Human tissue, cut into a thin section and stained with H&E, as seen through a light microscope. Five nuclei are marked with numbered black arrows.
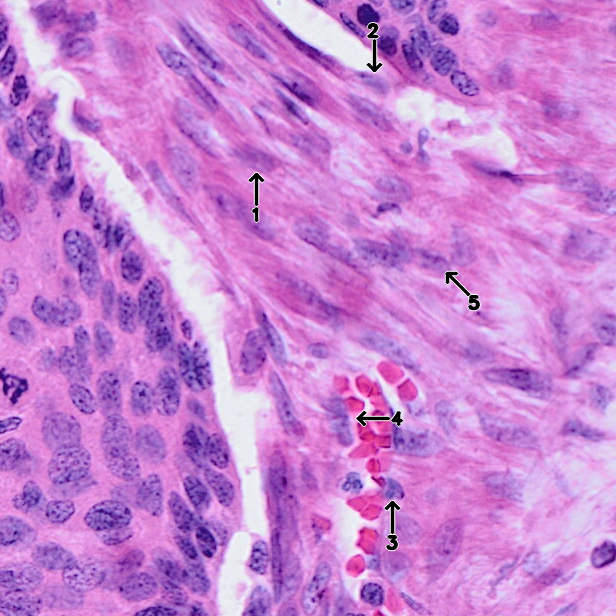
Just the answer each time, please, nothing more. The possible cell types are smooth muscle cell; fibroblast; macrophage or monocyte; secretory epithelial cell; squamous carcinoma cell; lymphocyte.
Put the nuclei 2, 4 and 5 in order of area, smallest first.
2, 5, 4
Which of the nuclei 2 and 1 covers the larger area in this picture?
1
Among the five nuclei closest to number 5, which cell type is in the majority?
fibroblast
